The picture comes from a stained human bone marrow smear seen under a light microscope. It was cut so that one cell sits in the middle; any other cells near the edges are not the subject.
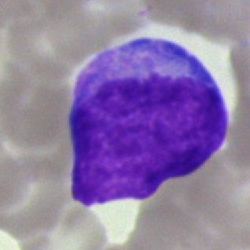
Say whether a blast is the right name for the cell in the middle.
yes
